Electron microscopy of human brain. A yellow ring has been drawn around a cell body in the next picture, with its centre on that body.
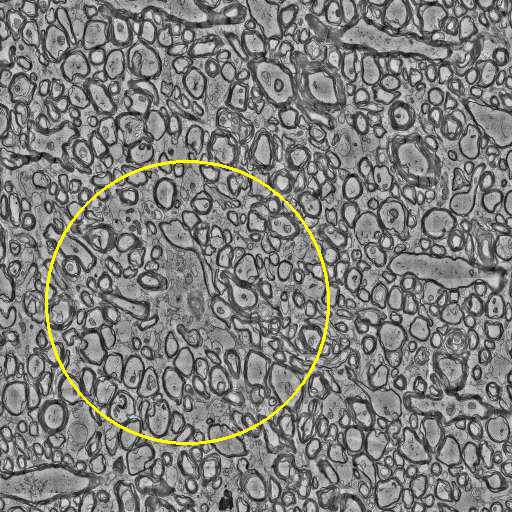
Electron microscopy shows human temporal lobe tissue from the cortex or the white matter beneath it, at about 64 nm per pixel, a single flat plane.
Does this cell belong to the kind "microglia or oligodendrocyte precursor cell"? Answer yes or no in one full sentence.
No, the ringed cell in this picture, sitting at the ring's centre, is of another kind.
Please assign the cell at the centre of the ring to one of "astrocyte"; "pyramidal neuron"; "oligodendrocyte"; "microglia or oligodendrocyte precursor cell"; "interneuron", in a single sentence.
The cell enclosed by the ring is an oligodendrocyte.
